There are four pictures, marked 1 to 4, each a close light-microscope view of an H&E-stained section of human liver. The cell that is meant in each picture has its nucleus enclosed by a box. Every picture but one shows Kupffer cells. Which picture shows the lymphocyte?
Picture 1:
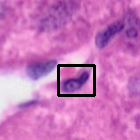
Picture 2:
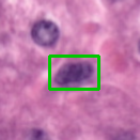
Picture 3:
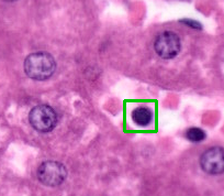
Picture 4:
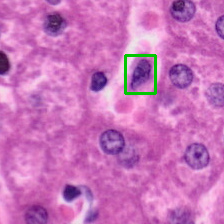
3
